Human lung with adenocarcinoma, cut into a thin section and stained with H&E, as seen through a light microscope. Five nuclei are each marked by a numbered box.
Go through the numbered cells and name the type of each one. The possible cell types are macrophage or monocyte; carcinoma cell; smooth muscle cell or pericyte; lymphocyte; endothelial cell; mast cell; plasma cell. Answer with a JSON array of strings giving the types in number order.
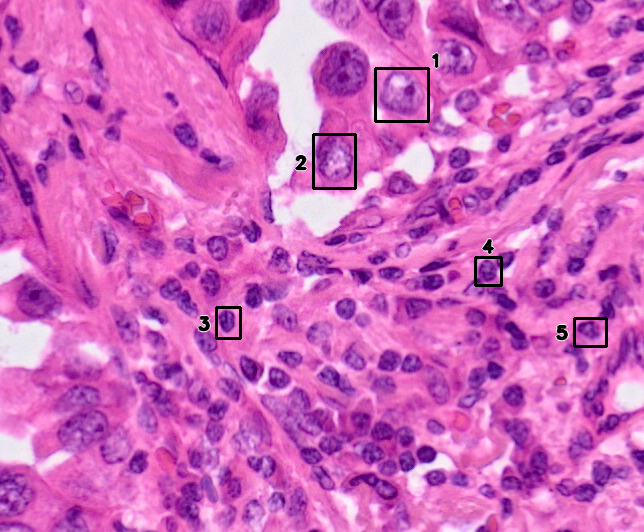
["carcinoma cell", "carcinoma cell", "lymphocyte", "lymphocyte", "plasma cell"]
